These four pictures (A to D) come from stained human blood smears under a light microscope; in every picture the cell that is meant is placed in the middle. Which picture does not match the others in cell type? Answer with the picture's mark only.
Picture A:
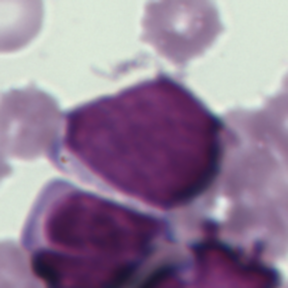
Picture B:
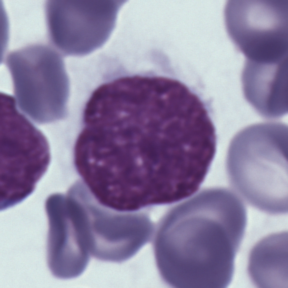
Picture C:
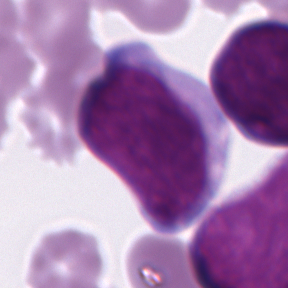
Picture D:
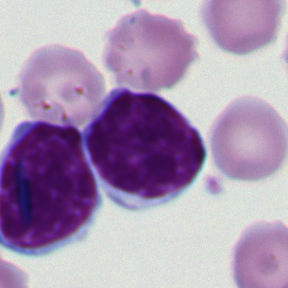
D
